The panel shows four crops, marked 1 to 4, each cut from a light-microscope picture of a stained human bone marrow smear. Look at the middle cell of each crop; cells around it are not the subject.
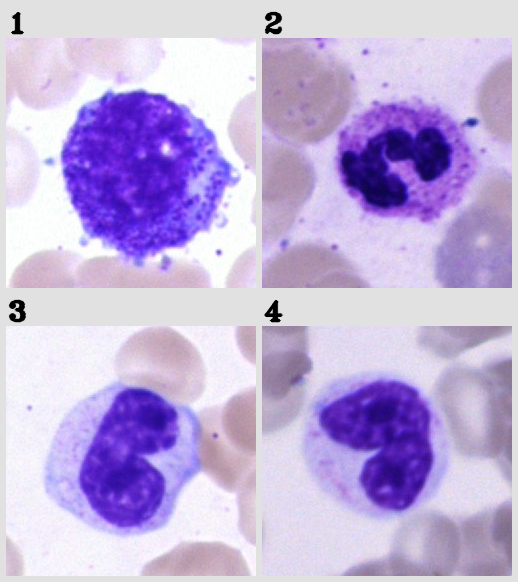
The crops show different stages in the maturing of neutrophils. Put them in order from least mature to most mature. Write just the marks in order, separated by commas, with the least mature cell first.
1, 3, 4, 2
